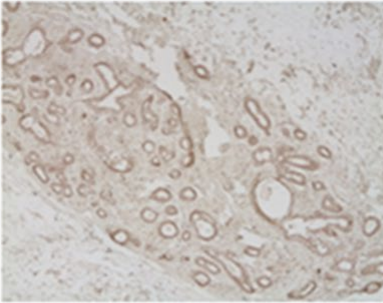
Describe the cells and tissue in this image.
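Normal breast tissue with a lobule of many small ducts and ductules cut in cross and oblique section. The epithelial lining takes a light brown stain, while the surrounding stroma stays pale. Some larger ducts with wider lumens lie within the lobule. Loose pale connective tissue surrounds the lobule.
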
